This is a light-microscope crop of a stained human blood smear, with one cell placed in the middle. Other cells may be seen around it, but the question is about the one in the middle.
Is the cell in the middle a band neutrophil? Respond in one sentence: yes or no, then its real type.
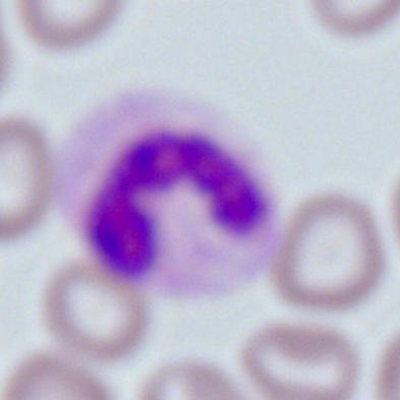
Yes, that is a band neutrophil in the middle of the crop.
